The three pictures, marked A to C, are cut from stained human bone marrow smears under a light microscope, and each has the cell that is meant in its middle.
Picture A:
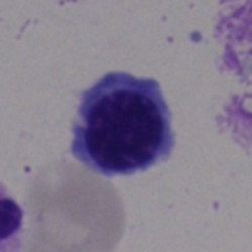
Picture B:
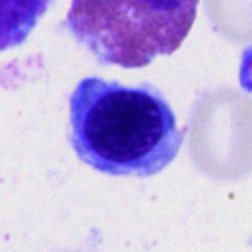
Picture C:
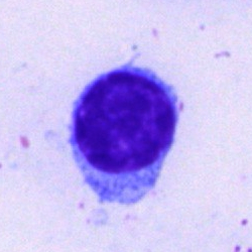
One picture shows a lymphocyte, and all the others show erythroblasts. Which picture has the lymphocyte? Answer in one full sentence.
Picture C shows the lymphocyte.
